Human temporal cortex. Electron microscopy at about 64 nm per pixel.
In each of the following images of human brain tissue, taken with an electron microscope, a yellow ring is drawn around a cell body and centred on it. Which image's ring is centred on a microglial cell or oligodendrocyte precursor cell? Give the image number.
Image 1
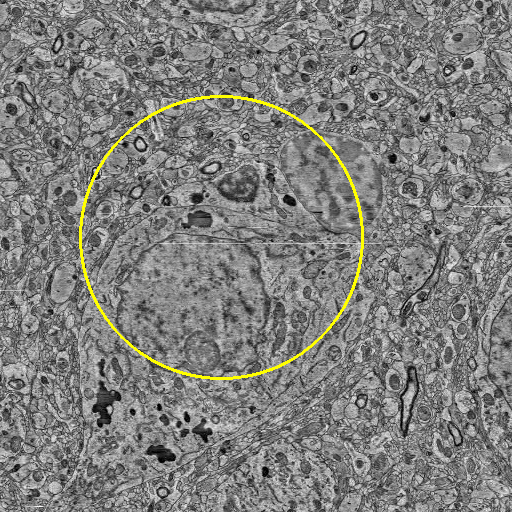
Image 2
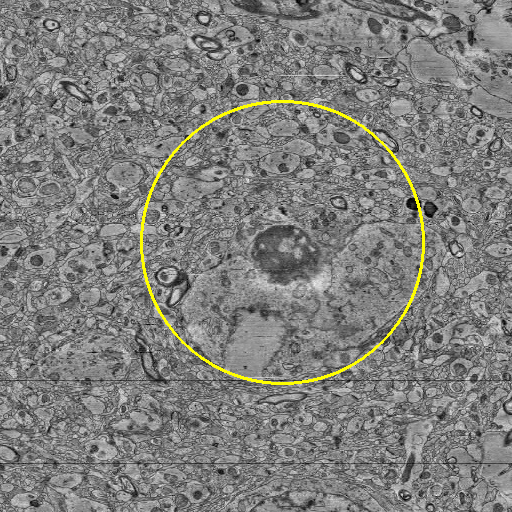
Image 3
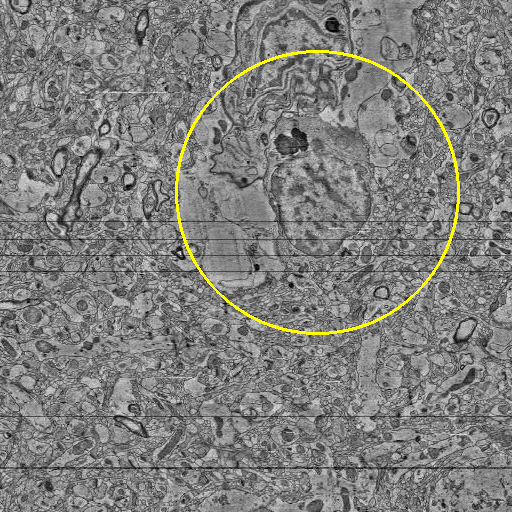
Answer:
2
